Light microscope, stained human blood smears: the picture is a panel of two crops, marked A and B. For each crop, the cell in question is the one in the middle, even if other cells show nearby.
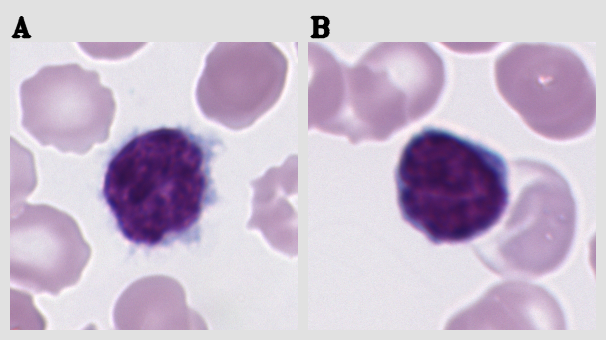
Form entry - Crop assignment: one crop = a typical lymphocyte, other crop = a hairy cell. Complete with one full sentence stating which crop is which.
In short, crop A is a hairy cell and crop B is a typical lymphocyte.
